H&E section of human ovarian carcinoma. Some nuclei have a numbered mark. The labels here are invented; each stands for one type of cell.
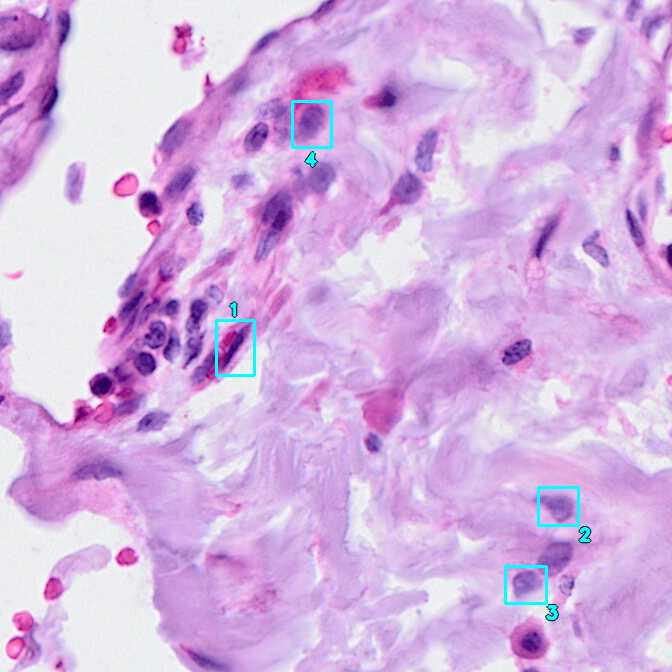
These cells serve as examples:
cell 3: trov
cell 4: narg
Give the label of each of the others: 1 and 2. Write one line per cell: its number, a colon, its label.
1: narg
2: trov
